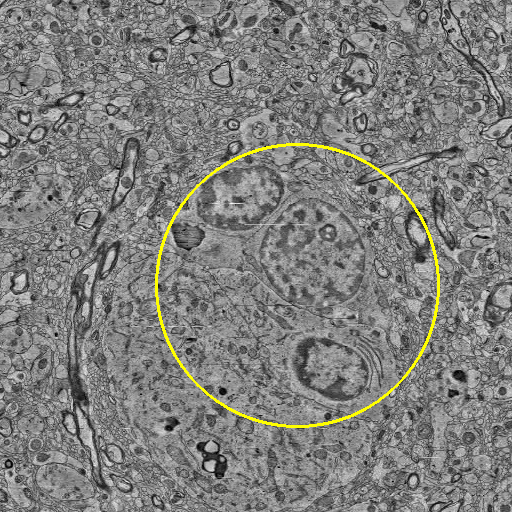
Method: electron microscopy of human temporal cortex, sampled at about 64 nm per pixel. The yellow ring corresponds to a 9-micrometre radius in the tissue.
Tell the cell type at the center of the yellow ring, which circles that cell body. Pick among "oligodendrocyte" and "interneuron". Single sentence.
The ring is centered on the body of an oligodendrocyte.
